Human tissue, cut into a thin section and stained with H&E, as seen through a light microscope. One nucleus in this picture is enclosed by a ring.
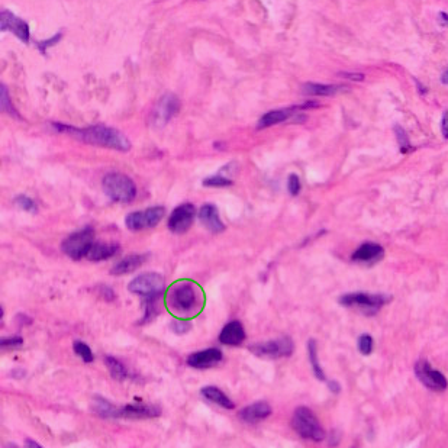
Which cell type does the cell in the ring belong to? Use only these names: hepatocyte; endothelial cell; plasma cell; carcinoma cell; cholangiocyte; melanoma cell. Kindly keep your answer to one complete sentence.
Cell type answer for this item: the cell in the ring is a plasma cell.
